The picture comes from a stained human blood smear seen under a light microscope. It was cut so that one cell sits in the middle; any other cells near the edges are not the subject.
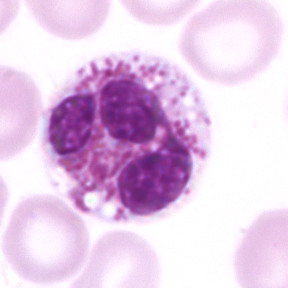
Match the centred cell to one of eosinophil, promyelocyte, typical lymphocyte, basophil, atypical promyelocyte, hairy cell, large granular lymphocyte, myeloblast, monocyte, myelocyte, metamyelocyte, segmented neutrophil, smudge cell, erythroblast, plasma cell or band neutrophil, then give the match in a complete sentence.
Occupying the centre of the crop is an eosinophil.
